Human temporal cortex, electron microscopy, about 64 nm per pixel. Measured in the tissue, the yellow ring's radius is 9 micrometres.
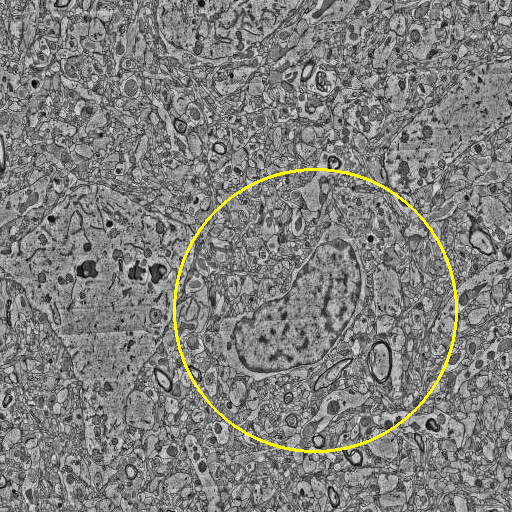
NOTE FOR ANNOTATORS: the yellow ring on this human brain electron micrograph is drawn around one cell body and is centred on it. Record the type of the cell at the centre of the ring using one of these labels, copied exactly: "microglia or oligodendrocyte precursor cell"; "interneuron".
microglia or oligodendrocyte precursor cell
